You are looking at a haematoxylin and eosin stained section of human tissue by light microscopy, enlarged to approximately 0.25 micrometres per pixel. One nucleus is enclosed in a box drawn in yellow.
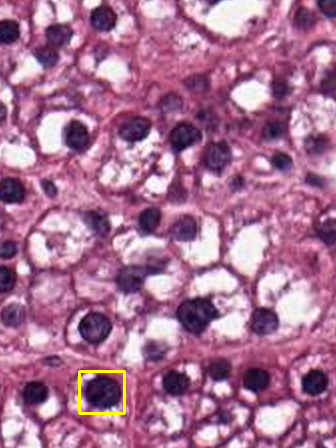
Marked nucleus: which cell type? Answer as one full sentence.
The marked nucleus is found in an adrenal cortical cell.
